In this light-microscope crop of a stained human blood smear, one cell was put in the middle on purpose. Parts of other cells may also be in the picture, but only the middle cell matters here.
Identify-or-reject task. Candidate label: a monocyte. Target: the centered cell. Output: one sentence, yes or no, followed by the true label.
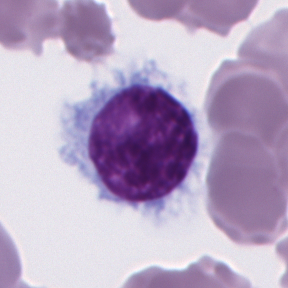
No, the cell in the middle is recognised as a hairy cell rather than a monocyte.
